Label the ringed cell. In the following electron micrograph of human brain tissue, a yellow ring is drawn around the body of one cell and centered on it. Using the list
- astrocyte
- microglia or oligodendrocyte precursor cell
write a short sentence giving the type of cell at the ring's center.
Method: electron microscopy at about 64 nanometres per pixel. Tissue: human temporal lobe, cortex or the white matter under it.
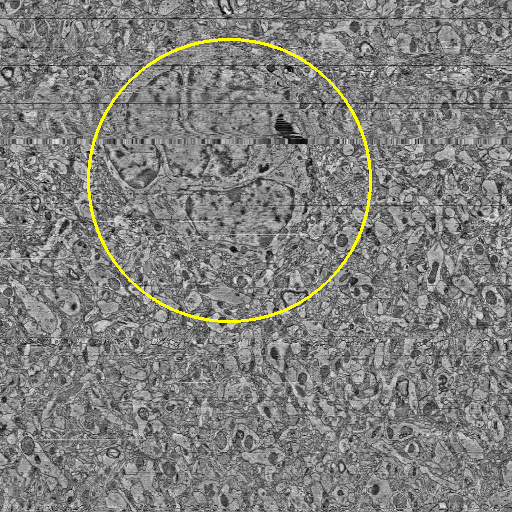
The cell body at the ring's center is that of a microglial cell or oligodendrocyte precursor cell.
